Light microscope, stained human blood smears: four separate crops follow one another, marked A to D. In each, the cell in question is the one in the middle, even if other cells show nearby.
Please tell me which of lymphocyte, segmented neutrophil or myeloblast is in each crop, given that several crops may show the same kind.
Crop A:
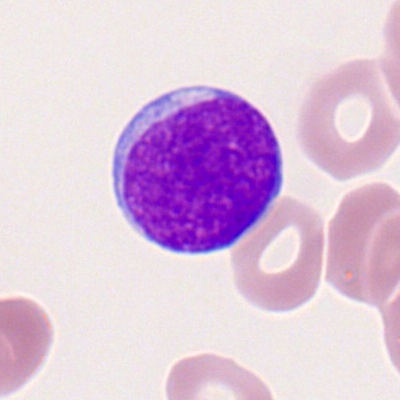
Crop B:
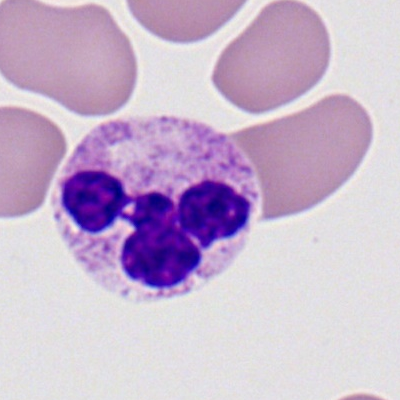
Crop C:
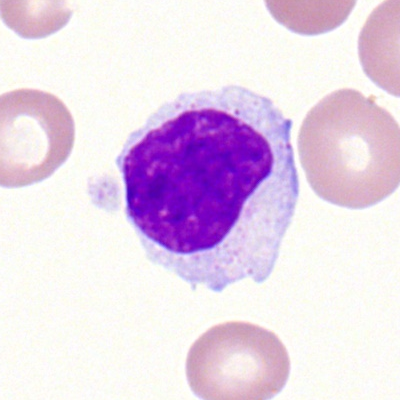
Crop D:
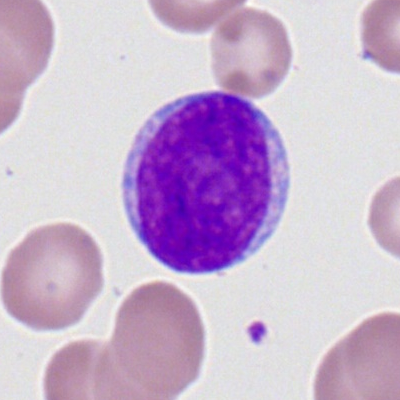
A: myeloblast
B: segmented neutrophil
C: lymphocyte
D: myeloblast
